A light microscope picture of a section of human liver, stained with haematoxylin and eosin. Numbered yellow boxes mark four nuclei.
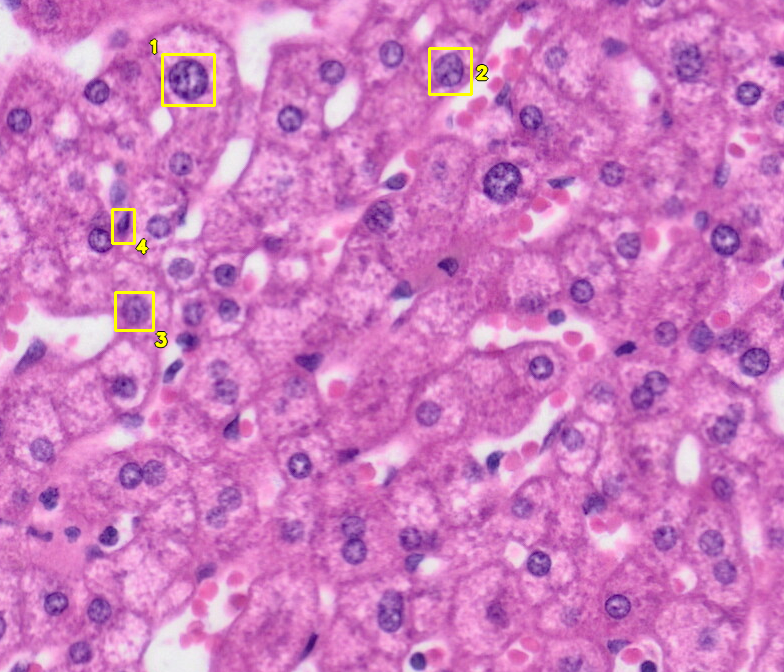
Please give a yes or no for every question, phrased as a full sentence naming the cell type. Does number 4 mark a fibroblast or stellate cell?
Yes, the cell identified as number 4 is a fibroblast or stellate cell.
